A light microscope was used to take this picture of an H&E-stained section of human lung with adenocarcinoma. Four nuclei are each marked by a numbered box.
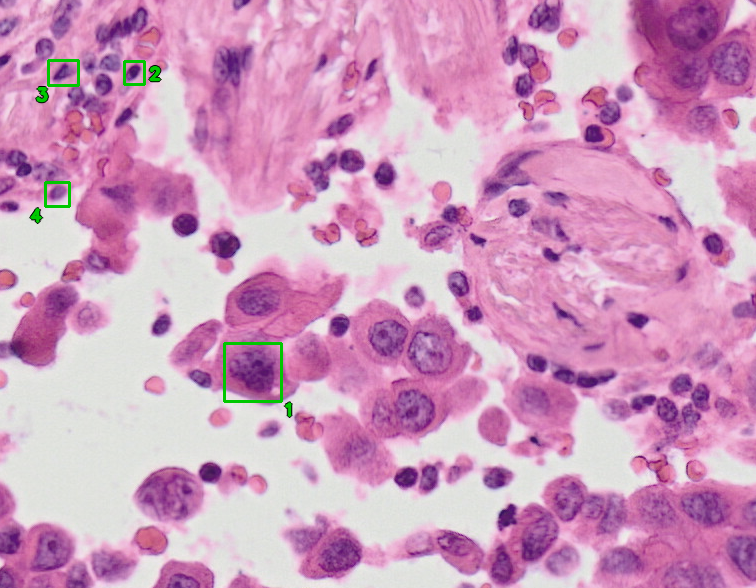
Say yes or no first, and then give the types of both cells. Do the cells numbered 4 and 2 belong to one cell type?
Yes, cells 4 and 2 both fall under lymphocytes.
